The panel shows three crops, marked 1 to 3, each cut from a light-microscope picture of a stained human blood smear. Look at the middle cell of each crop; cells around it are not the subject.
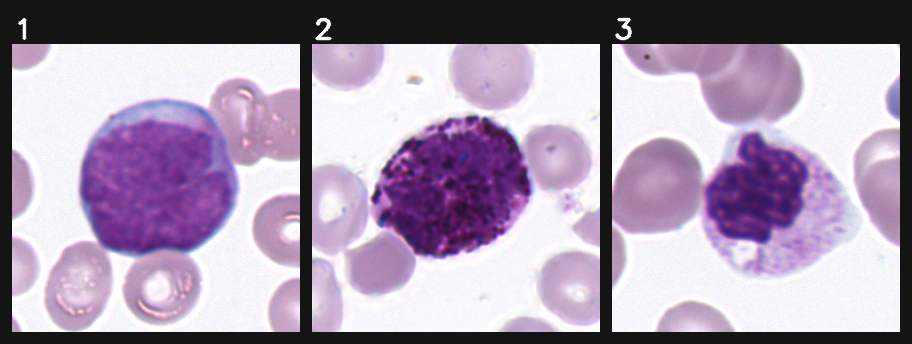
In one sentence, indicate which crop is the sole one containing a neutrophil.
Crop 3 is where a neutrophil is to be found.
